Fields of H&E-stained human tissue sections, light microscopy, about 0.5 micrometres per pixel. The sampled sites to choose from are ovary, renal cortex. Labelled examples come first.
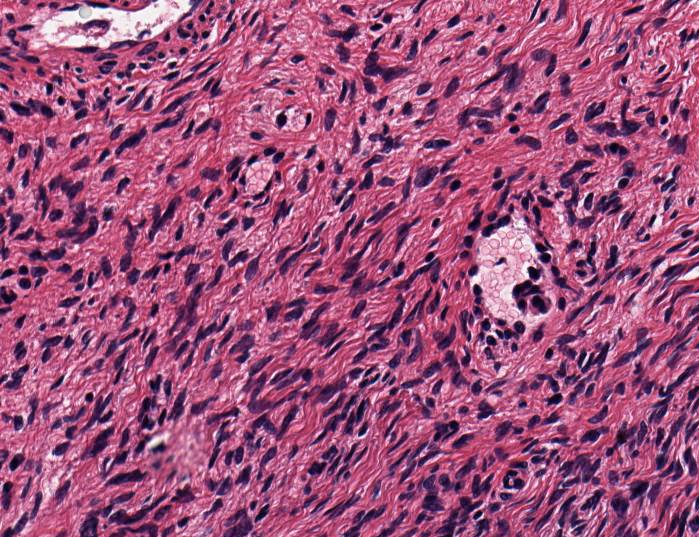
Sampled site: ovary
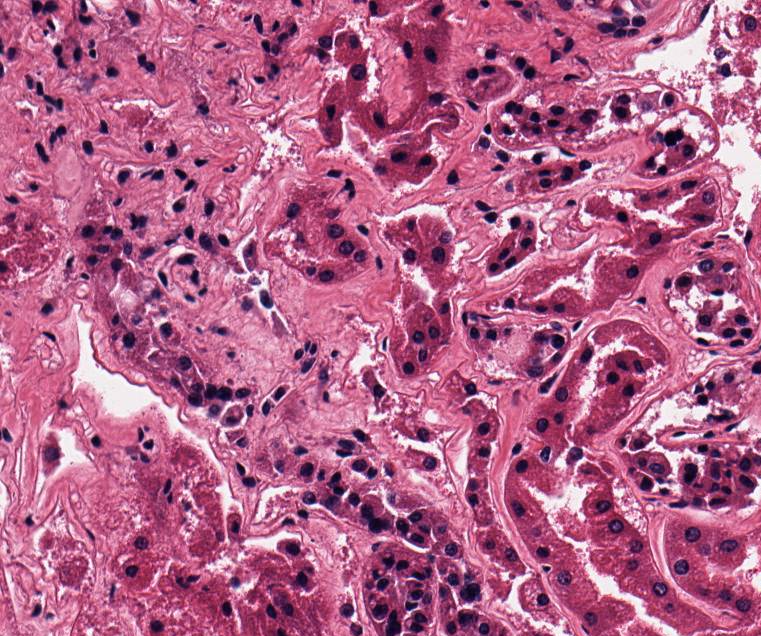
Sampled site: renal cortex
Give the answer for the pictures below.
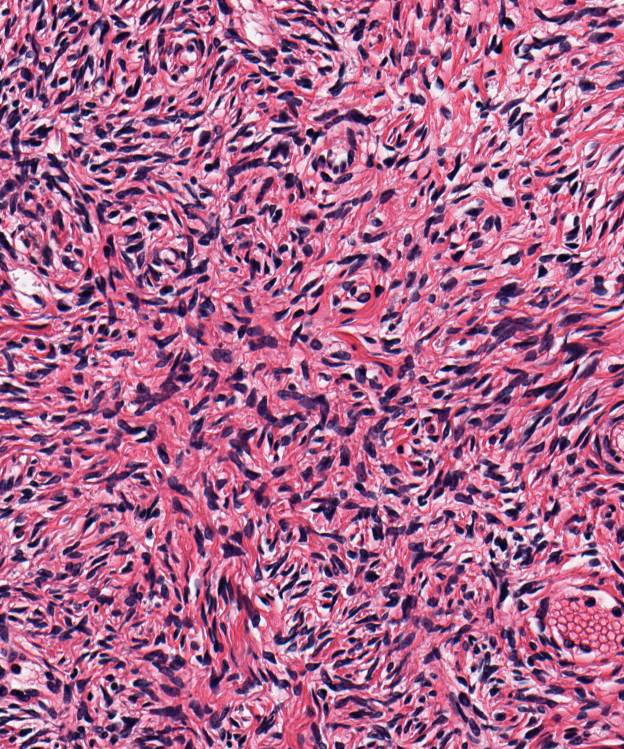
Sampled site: ovary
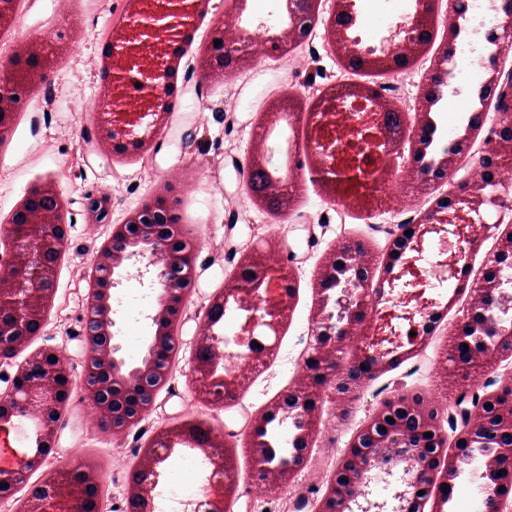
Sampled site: renal cortex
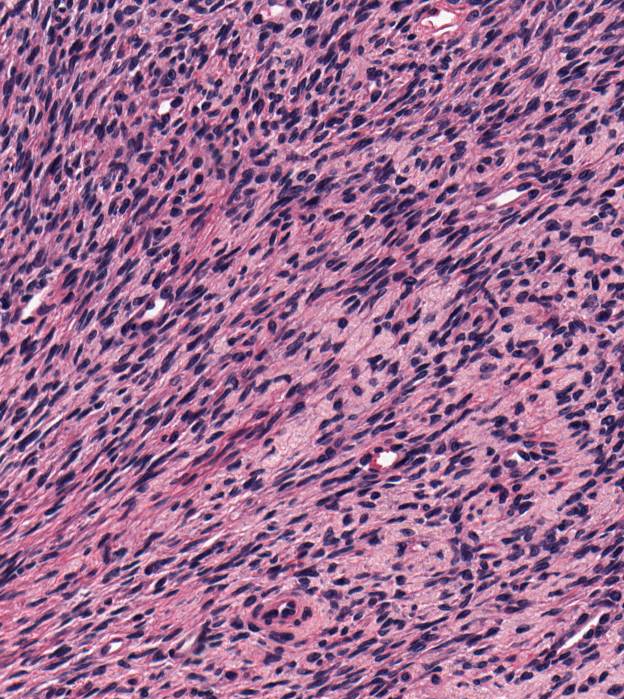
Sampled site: ovary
